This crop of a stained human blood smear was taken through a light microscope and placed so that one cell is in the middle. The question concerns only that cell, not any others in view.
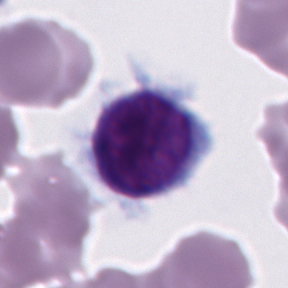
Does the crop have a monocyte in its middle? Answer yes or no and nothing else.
no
